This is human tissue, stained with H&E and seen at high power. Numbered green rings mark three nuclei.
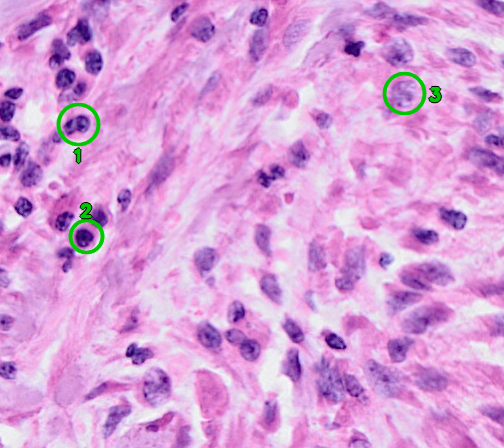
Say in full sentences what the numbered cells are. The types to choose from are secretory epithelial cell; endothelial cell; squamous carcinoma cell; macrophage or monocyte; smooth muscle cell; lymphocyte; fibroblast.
Cells 1 and 2 are lymphocytes. Cell 3 is a fibroblast.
